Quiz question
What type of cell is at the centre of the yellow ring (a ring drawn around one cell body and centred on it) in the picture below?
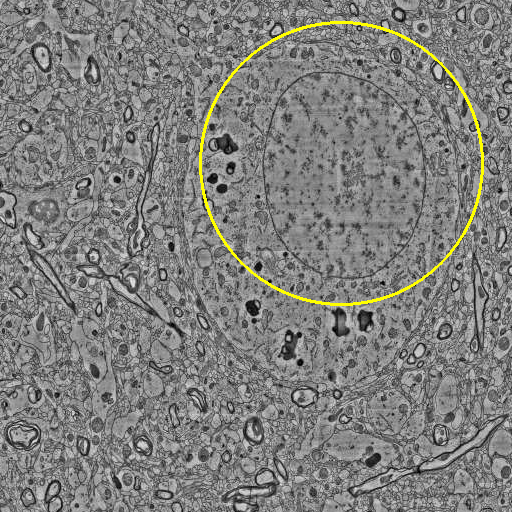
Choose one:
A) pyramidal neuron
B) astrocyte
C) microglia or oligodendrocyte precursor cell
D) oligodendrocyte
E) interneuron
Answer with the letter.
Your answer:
A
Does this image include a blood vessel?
No, no blood vessel shows in the picture.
